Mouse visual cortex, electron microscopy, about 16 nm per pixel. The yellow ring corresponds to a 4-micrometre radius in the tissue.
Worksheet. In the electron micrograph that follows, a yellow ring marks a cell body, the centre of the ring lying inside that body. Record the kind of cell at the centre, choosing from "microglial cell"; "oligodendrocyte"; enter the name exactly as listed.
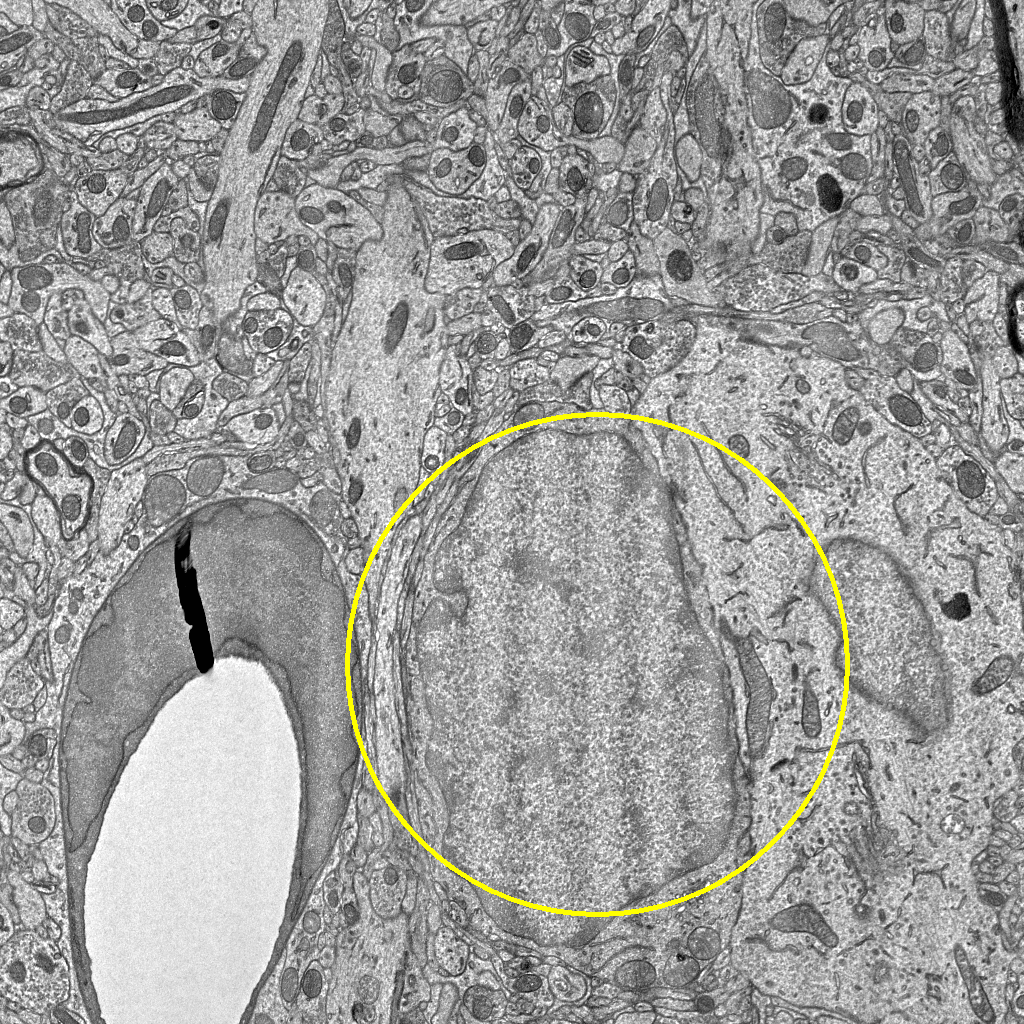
oligodendrocyte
